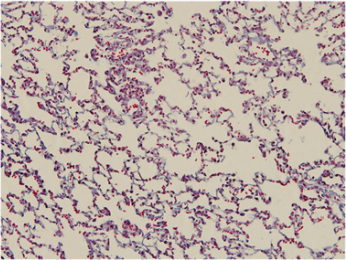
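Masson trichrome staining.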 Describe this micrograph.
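This is lung parenchyma with a fine, lacy network of alveolar walls around wide open airspaces. The alveolar walls are thin, mostly only one or two cells thick, and stain pale pink to purple. Small red-stained dots, consistent with red blood cells in capillaries, lie within the walls. Little or no blue-stained fibrous tissue is seen in the field.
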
